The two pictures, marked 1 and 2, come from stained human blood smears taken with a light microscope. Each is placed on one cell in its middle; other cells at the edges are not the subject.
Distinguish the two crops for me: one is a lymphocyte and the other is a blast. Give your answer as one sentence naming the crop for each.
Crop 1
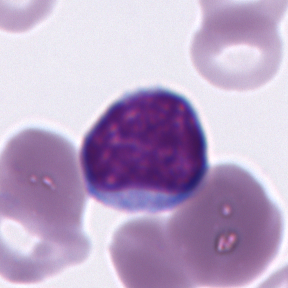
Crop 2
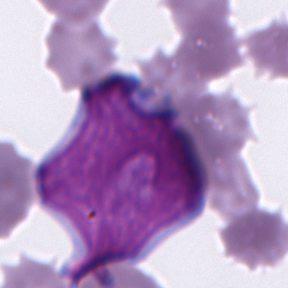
The correct labels are a lymphocyte for crop 1 and a blast for crop 2.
